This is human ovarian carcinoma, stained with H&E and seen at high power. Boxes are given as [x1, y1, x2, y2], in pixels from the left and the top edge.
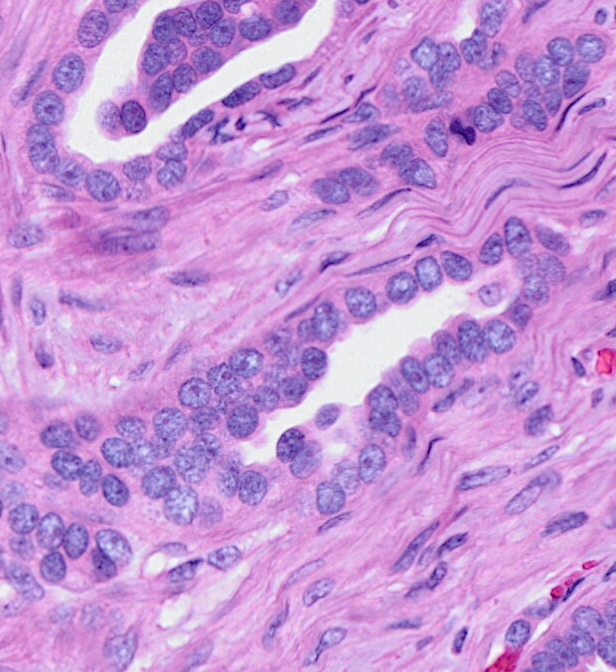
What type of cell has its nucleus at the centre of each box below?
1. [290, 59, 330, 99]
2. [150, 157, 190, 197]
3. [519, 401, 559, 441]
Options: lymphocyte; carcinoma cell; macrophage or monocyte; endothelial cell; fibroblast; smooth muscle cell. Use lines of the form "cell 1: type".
cell 1: fibroblast
cell 2: carcinoma cell
cell 3: fibroblast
